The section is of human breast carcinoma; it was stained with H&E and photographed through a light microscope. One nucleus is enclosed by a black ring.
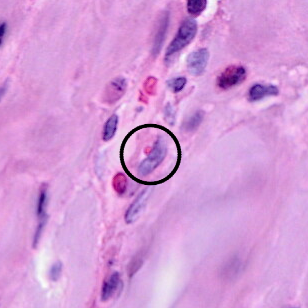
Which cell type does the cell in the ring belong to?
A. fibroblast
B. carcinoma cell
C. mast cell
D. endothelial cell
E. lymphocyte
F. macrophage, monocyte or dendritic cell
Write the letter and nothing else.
D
